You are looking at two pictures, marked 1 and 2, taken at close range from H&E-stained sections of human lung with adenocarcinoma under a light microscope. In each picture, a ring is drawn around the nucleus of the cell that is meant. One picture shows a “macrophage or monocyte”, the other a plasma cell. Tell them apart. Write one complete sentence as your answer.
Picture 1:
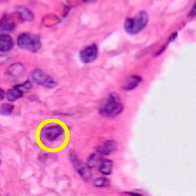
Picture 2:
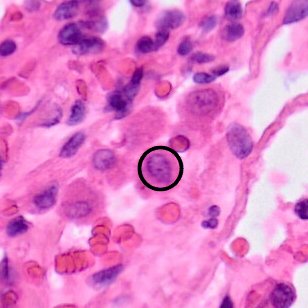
Picture 1 is of a plasma cell, and picture 2 is of a “macrophage or monocyte”.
